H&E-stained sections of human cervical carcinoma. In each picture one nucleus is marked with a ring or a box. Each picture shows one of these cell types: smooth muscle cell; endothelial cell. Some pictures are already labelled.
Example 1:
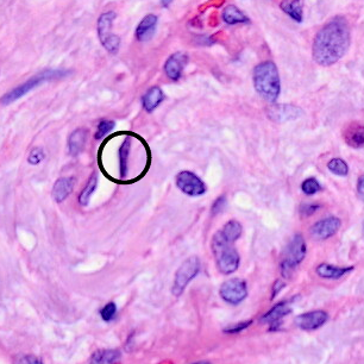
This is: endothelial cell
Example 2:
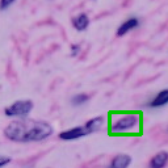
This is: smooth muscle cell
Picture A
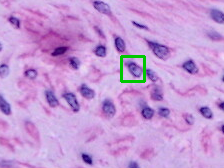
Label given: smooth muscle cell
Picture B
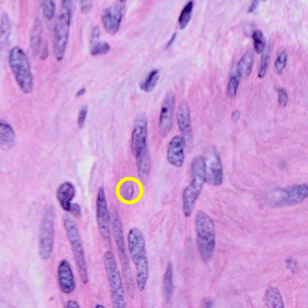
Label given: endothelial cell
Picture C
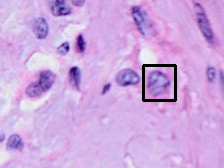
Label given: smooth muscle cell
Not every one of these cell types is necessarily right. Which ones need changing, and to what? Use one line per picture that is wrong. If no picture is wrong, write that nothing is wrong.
B is labelled endothelial cell; correct label: smooth muscle cell
C is labelled smooth muscle cell; correct label: endothelial cell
